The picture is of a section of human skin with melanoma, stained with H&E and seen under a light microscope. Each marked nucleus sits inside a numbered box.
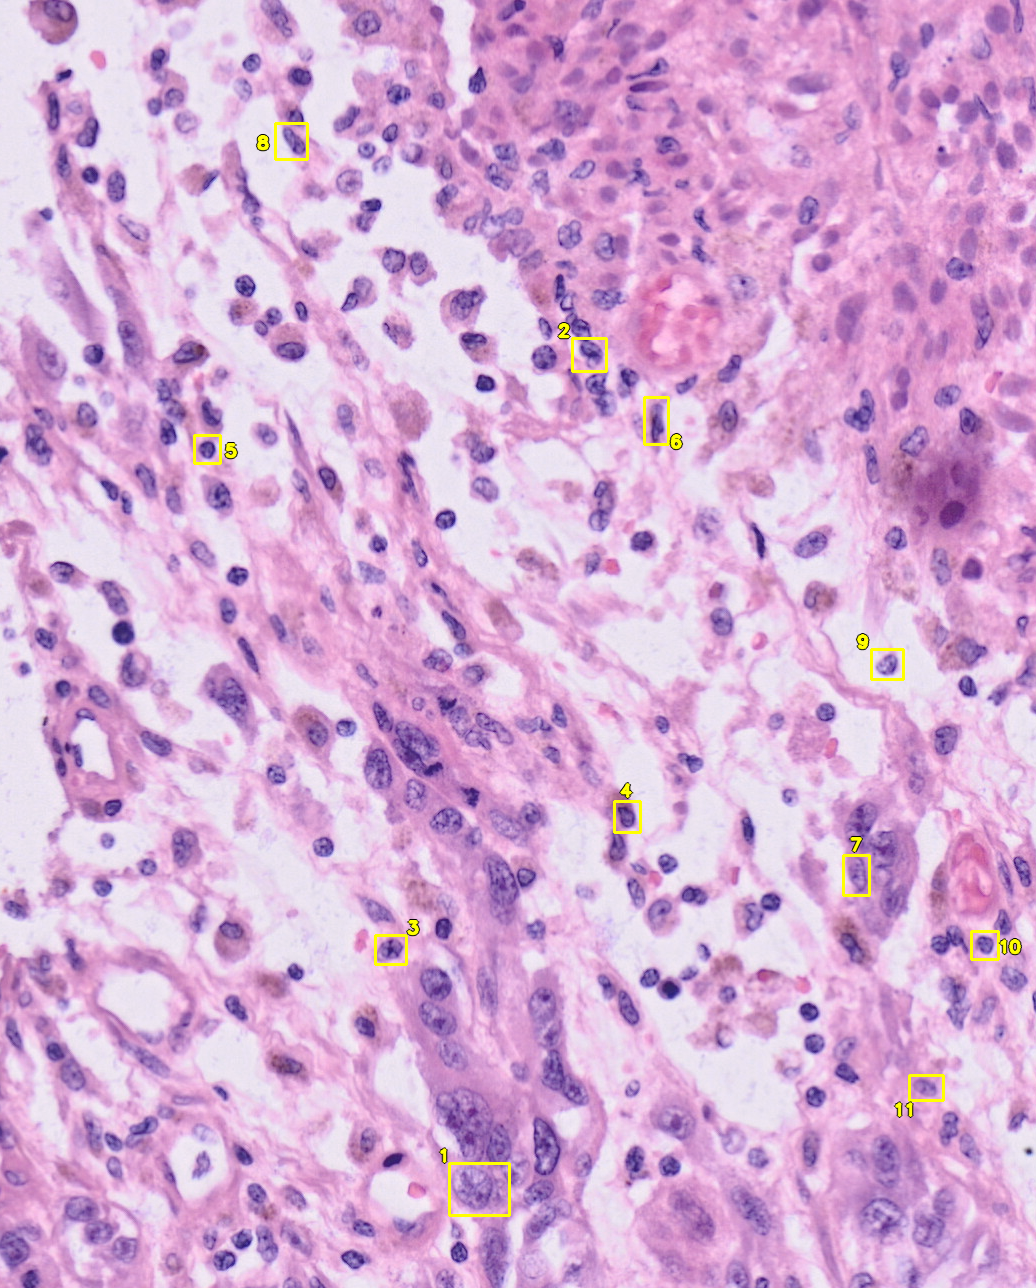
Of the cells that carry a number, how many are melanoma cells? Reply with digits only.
2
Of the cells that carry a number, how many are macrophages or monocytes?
4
